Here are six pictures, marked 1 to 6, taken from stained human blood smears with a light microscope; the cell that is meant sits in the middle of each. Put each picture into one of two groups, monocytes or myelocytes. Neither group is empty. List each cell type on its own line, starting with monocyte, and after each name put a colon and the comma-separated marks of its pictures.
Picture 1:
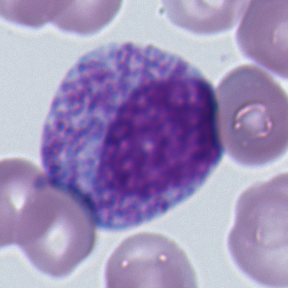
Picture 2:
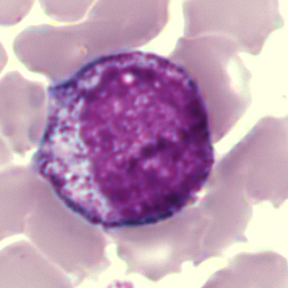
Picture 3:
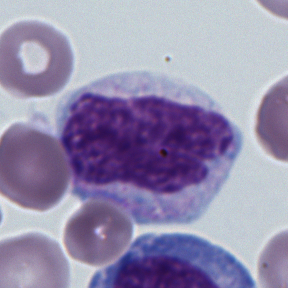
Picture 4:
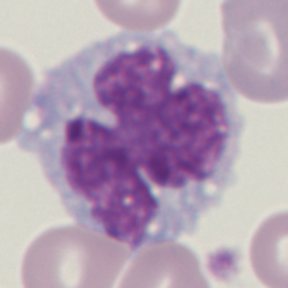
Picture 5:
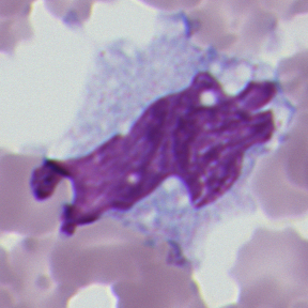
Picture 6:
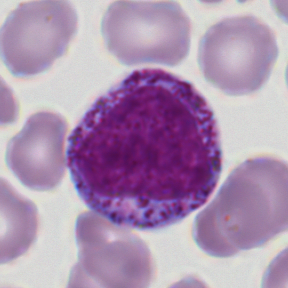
monocyte: 4, 5
myelocyte: 1, 2, 3, 6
